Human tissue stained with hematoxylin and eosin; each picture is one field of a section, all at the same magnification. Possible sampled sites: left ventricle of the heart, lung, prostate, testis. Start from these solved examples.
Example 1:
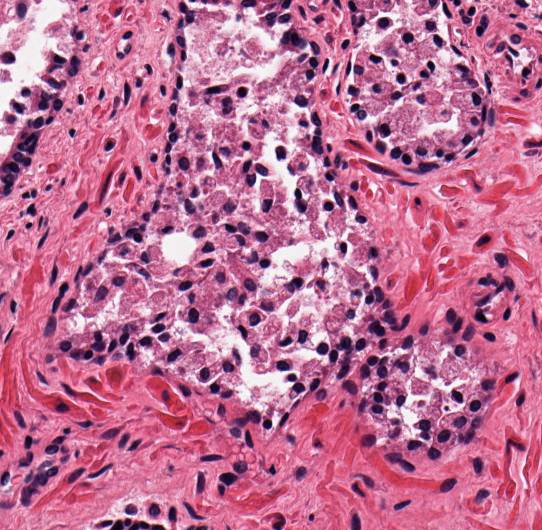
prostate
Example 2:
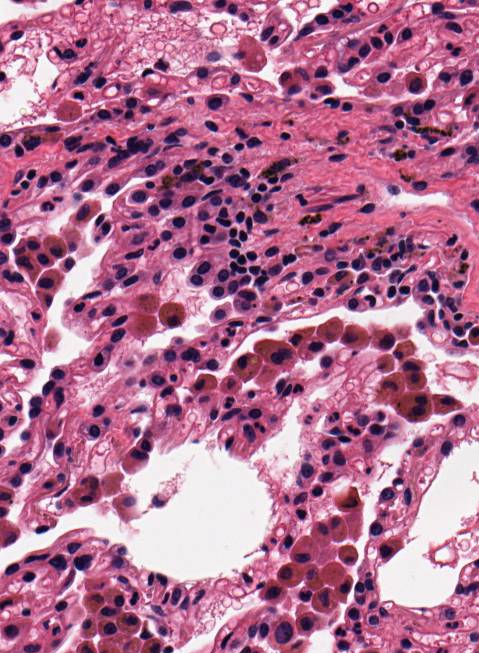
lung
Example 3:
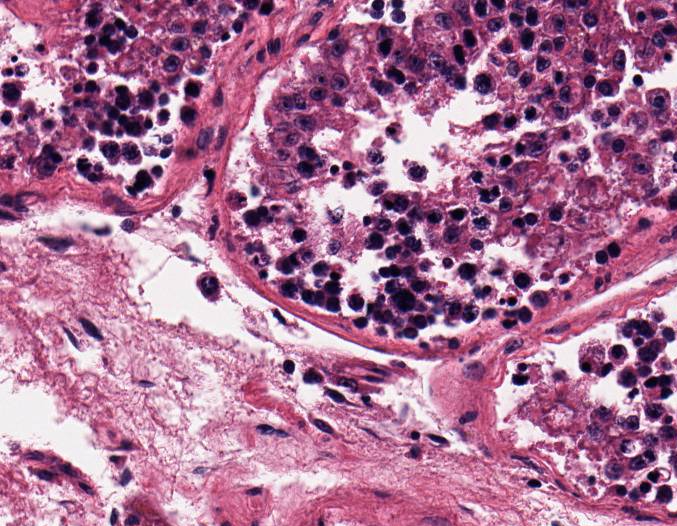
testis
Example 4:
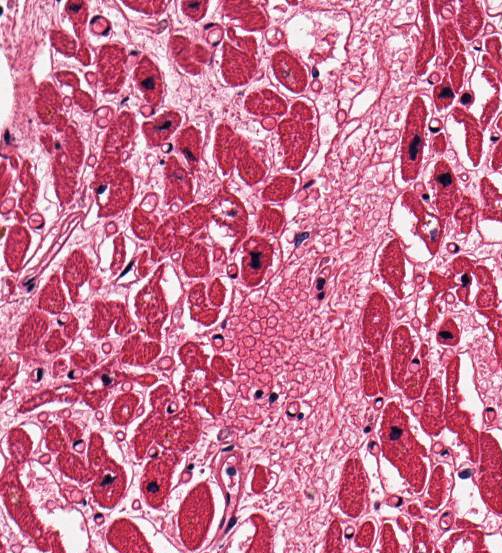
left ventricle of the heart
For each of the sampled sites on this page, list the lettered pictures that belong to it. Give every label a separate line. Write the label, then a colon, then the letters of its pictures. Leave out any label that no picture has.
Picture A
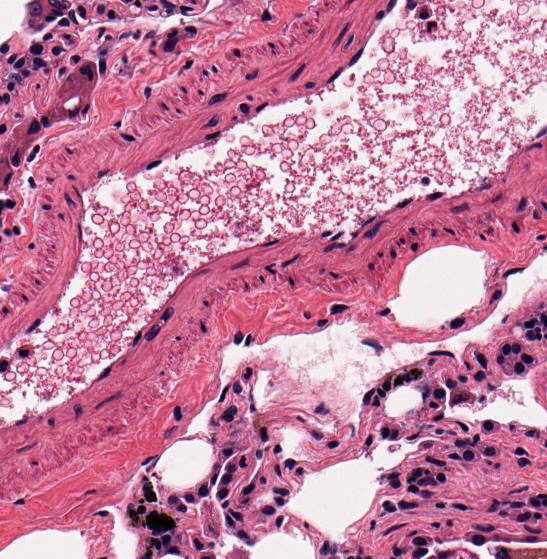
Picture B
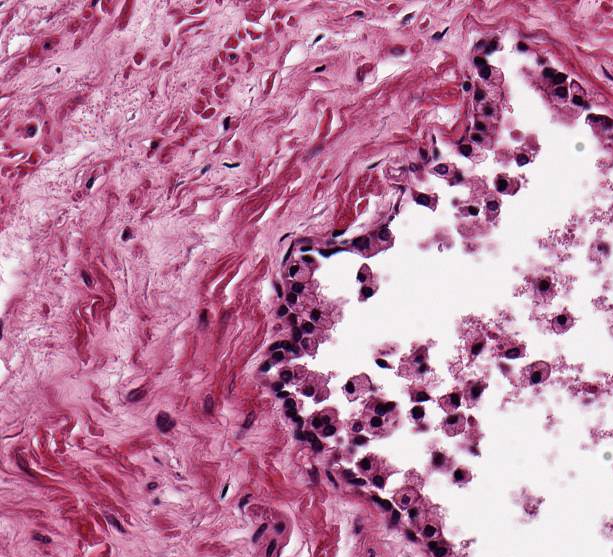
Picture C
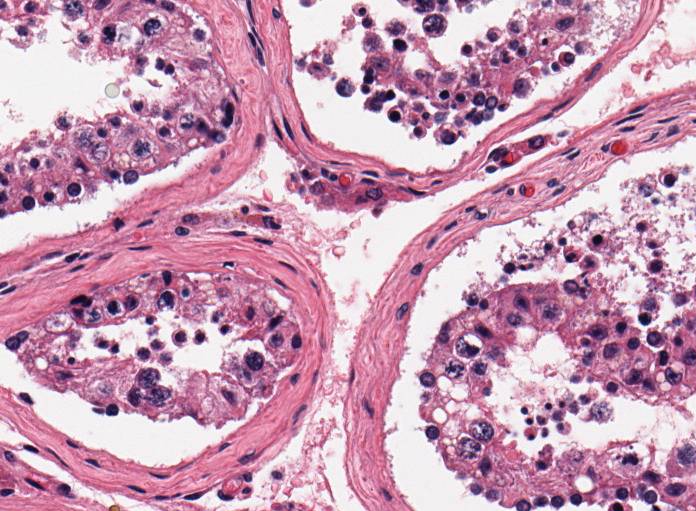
lung: A
prostate: B
testis: C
